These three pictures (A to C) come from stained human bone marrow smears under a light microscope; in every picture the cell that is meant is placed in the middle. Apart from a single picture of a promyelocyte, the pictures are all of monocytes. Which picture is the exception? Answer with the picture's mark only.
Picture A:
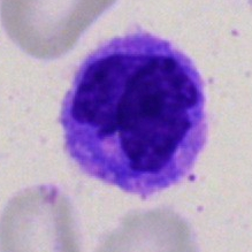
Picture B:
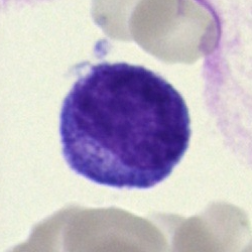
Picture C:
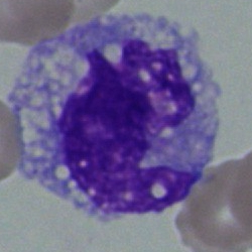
B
